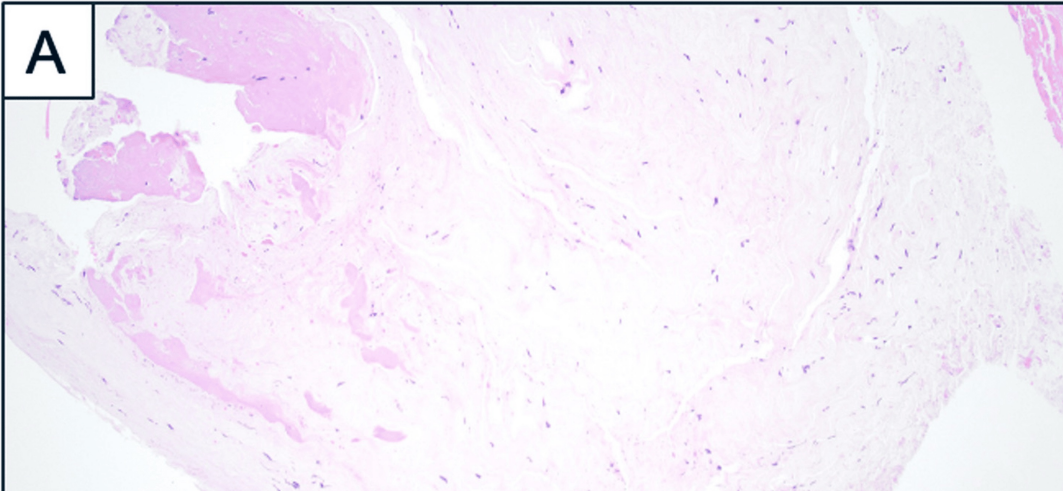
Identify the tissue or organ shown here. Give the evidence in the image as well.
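Pale connective tissue. Pale pink fibrous matrix fills most of the field. Nuclei are few and widely scattered. Scattered nuclei are small and elongated.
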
